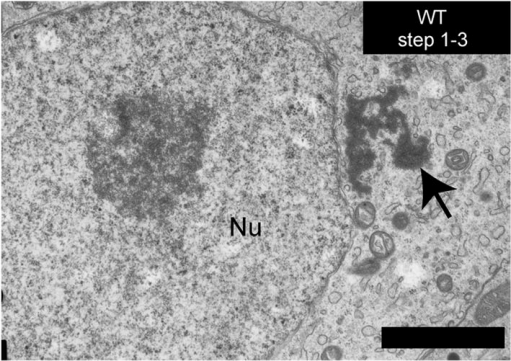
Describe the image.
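Round spermatid seen by transmission electron microscopy, with a large round nucleus and an electron-dense chromatoid body in the cytoplasm. The nucleus has finely dispersed chromatin and a denser central chromatin patch. The chromatoid body is an irregular, lobed, membraneless mass of granular-fibrous material lying close to the nuclear envelope. Mitochondria and small vesicles lie around it in the cytoplasm.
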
